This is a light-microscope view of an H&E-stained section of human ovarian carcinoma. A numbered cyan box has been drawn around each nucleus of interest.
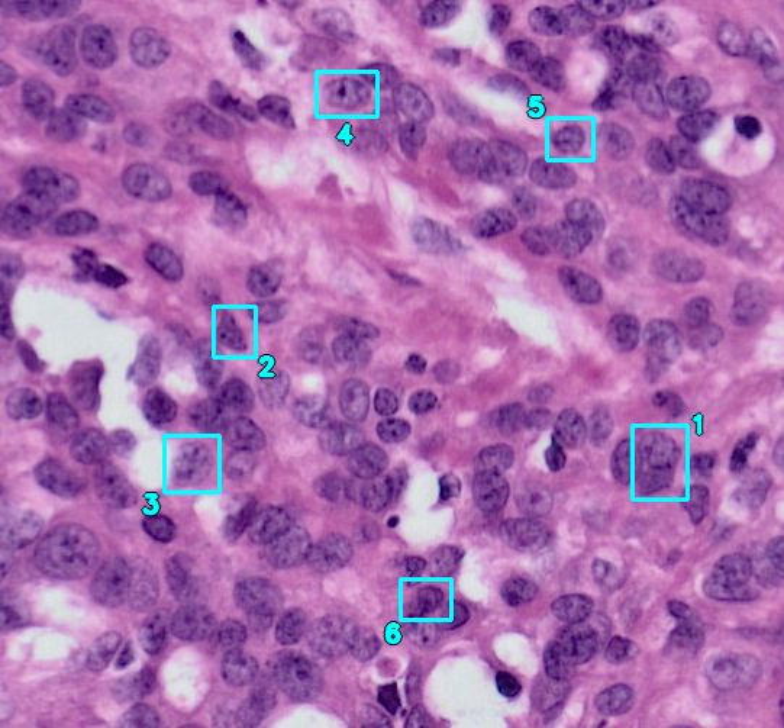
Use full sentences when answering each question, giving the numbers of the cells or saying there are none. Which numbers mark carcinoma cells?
The cells assigned the numbers 1, 2, 3 and 6 are carcinoma cells.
